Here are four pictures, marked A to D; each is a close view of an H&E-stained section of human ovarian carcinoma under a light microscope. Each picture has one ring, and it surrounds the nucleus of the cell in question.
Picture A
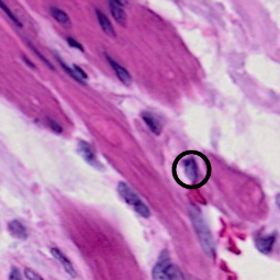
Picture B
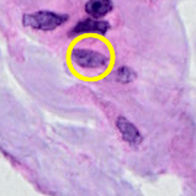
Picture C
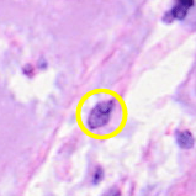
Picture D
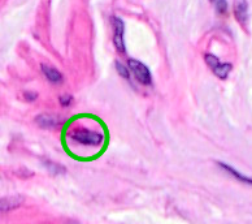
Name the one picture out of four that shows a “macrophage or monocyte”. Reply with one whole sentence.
The “macrophage or monocyte” is the one in picture C.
